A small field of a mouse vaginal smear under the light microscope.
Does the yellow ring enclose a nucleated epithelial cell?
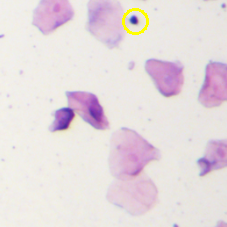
No. The ring encloses a leukocyte.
